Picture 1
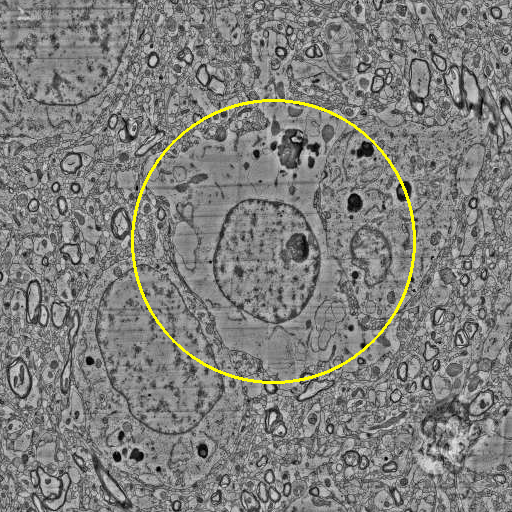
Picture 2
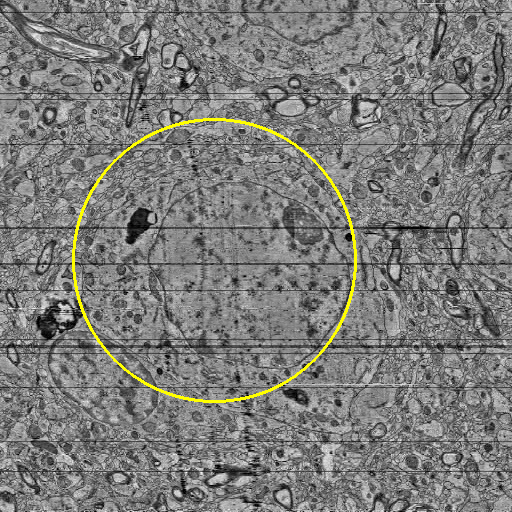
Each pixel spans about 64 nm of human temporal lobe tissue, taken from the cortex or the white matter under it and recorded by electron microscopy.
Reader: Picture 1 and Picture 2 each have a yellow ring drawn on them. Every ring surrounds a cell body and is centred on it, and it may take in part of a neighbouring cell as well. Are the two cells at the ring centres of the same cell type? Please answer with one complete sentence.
No, the cells are of two cell types.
